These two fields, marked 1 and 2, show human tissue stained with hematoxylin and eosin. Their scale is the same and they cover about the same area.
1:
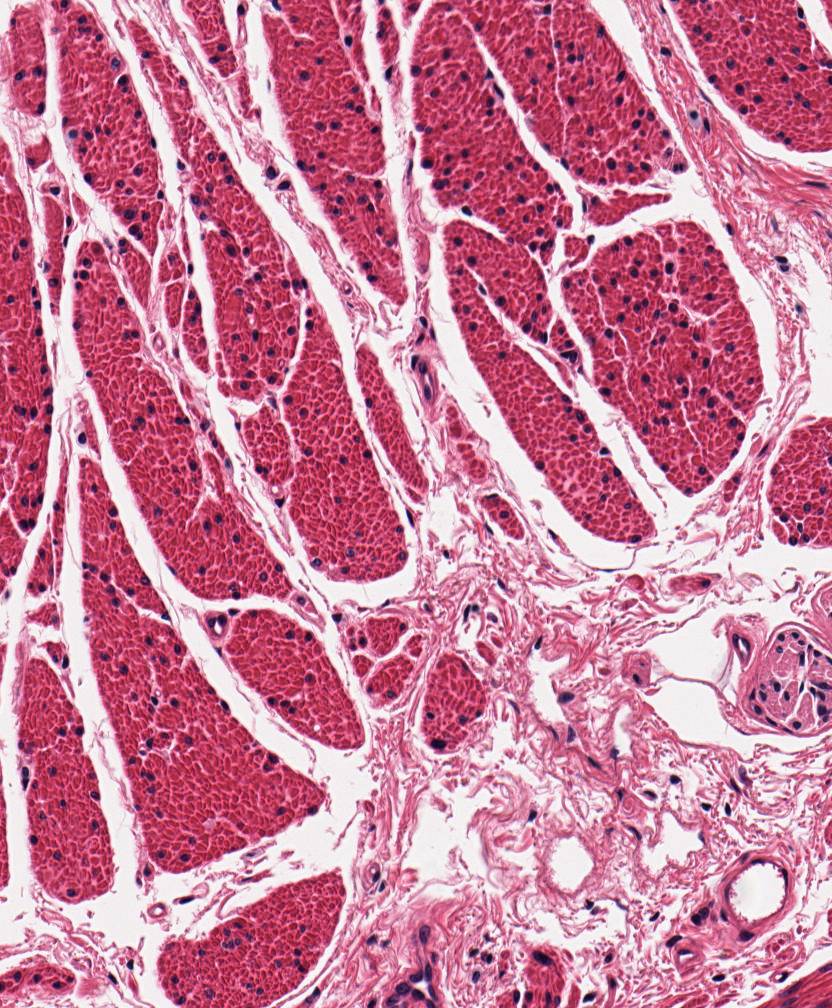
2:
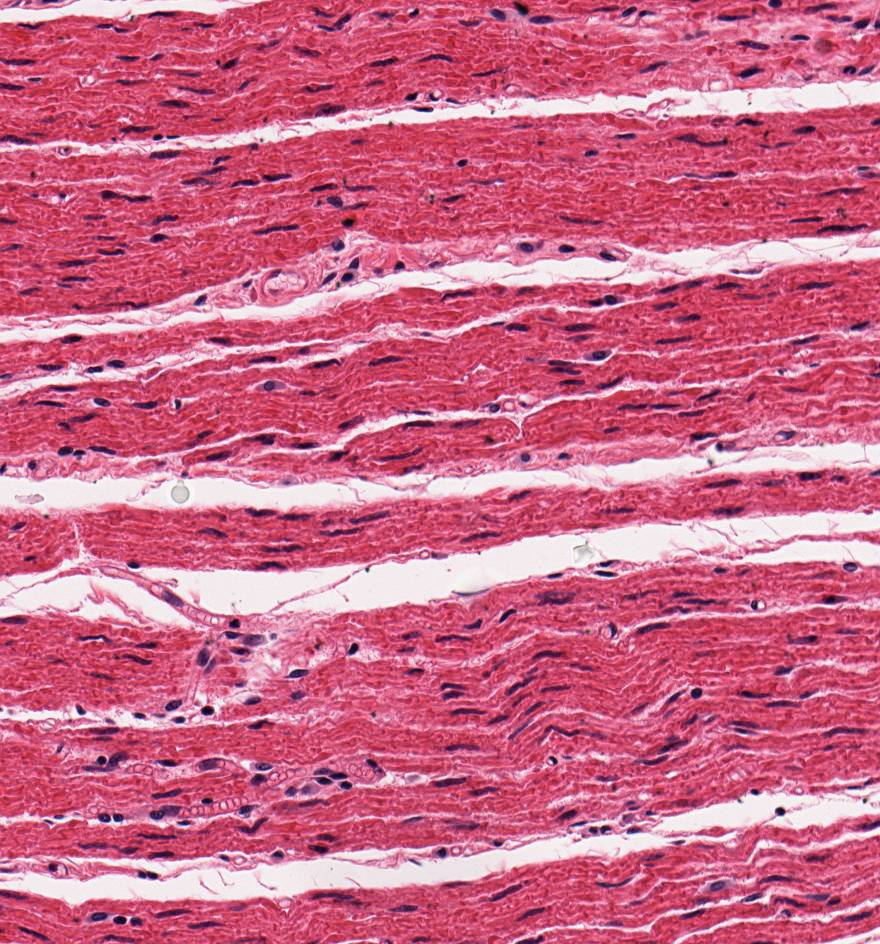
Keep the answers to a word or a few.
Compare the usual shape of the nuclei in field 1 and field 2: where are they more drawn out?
2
